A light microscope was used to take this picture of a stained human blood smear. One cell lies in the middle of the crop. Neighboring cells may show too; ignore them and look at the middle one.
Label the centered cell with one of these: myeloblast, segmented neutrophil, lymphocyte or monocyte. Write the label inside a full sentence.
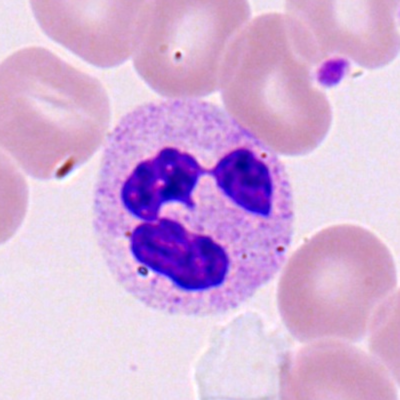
In the central position of this crop, the cell is a segmented neutrophil.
